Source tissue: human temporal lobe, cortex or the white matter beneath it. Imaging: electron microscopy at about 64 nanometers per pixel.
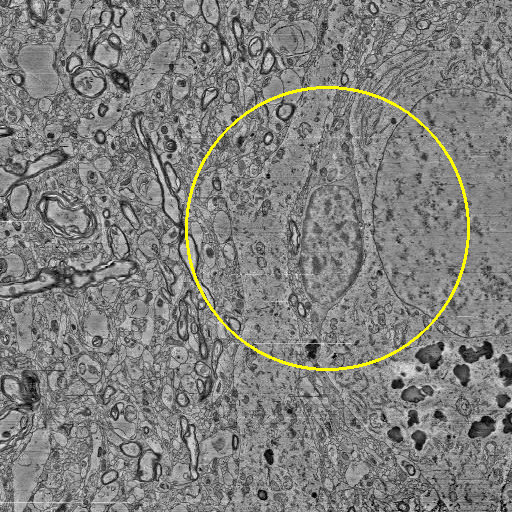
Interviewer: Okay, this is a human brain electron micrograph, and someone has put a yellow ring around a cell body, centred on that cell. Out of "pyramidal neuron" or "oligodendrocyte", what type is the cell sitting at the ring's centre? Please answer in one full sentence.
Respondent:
The cell at the centre of the yellow ring in this picture is an oligodendrocyte.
